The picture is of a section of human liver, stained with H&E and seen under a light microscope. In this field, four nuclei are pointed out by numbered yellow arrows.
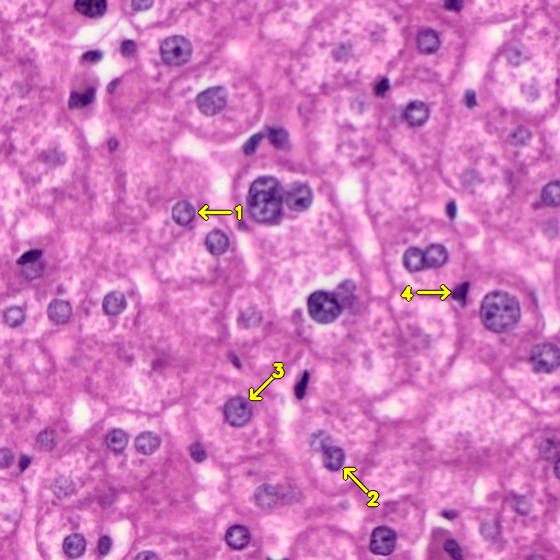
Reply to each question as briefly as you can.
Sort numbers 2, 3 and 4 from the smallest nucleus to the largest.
4, 2, 3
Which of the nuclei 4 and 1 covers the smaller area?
4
